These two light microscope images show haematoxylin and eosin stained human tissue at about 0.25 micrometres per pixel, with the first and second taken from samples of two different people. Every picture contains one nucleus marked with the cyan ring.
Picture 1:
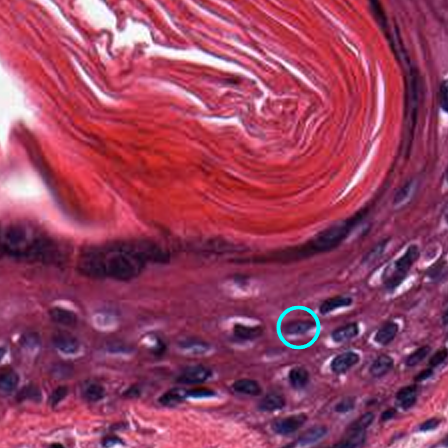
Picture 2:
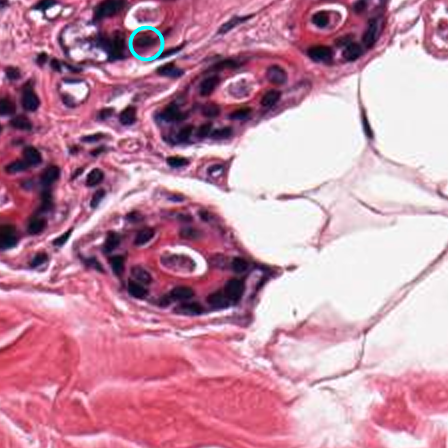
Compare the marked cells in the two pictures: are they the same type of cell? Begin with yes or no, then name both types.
No, the first is a keratinocyte and the second a sweat gland cell.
